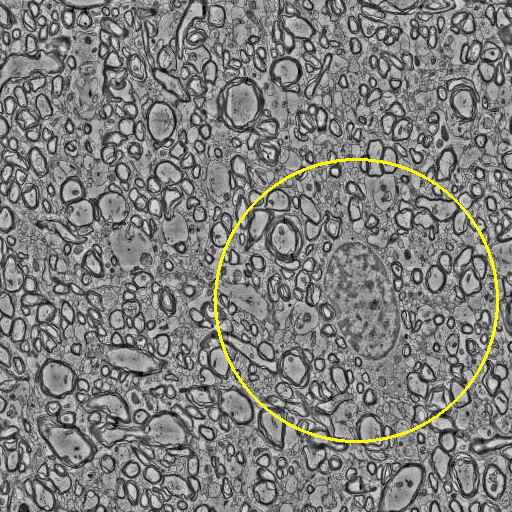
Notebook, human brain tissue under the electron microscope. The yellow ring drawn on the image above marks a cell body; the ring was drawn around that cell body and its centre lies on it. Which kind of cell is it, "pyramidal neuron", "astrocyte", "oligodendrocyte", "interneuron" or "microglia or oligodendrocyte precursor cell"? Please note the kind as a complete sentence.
The marked cell body is that of an oligodendrocyte.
